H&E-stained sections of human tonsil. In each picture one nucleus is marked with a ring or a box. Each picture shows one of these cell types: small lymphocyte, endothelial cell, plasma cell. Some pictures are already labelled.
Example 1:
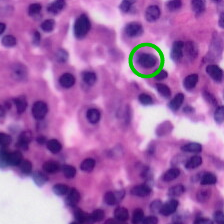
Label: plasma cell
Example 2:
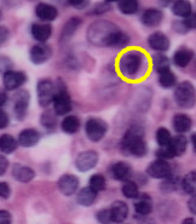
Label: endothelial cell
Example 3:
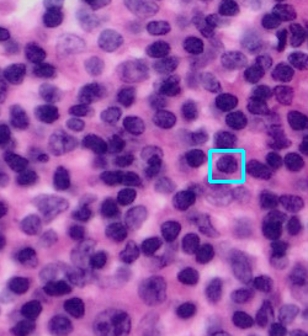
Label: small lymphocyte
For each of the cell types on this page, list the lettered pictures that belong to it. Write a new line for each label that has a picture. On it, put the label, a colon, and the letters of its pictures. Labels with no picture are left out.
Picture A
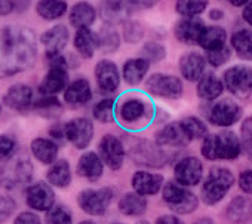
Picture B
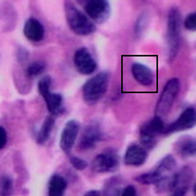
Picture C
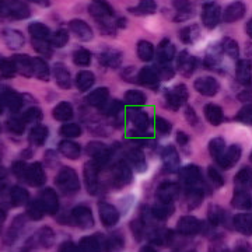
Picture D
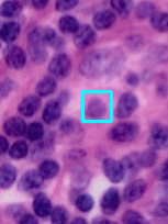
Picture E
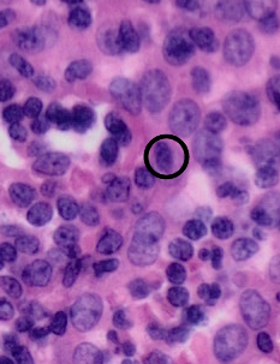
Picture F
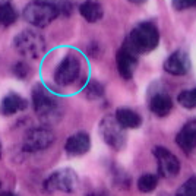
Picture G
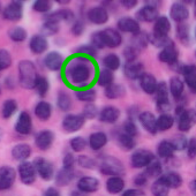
small lymphocyte: A, C, G
endothelial cell: B, D, E
plasma cell: F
